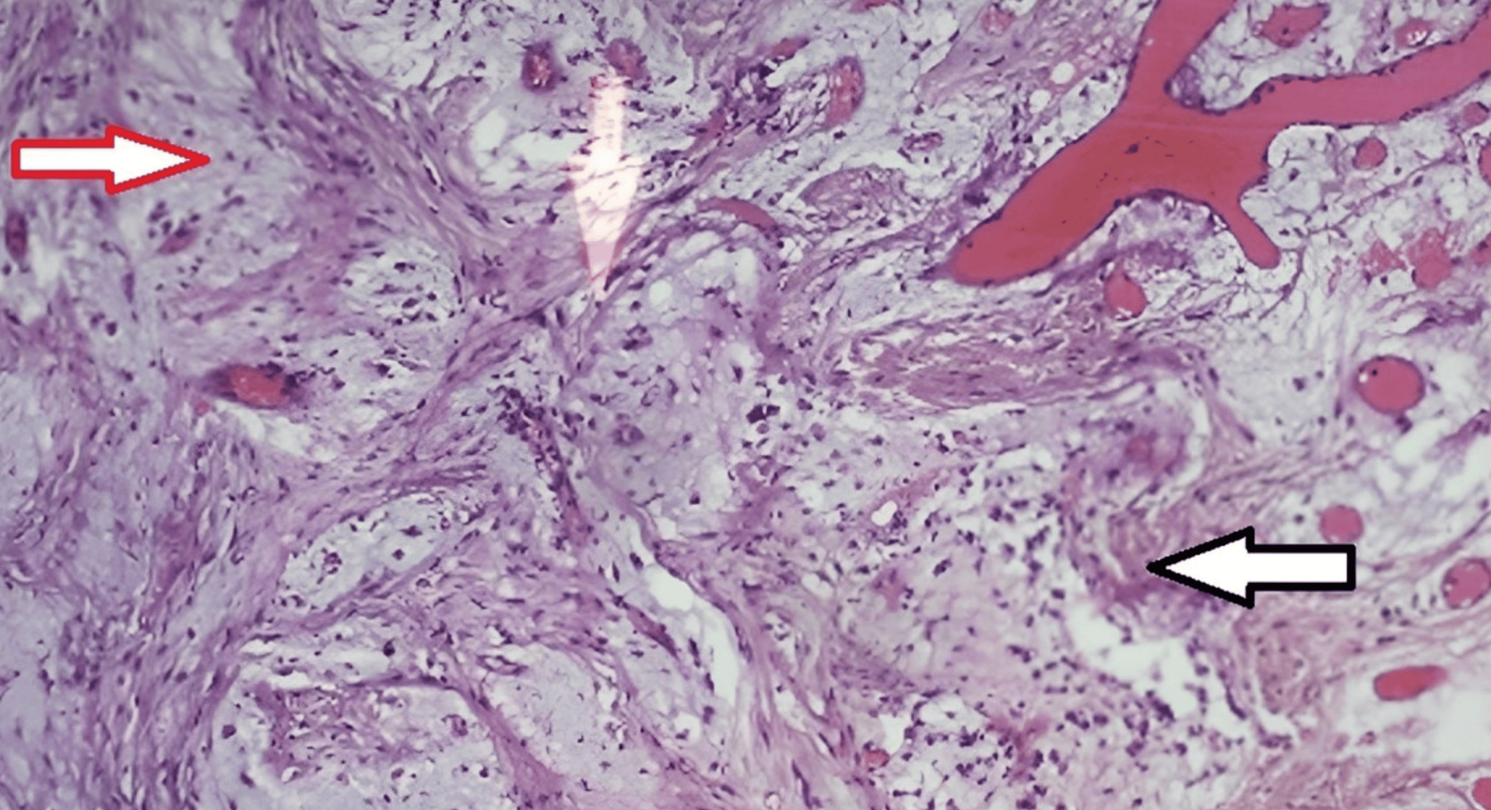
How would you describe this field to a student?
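This is connective tissue made of looser, pale myxomatous areas interwoven with denser fibrous bands. The pale areas have a loose, wispy matrix with widely spaced small nuclei. The fibrous bands are more compact and fibrillar, with elongated nuclei running along them. Small round and oval spaces filled with pink-red material are dispersed throughout and are small blood vessels. Scattered small dark nuclei in the looser areas fit inflammatory cells.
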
